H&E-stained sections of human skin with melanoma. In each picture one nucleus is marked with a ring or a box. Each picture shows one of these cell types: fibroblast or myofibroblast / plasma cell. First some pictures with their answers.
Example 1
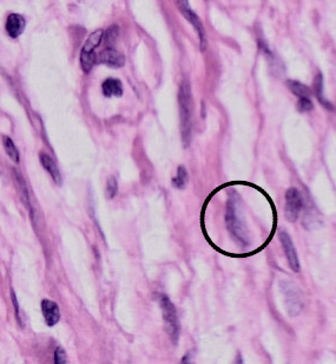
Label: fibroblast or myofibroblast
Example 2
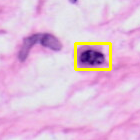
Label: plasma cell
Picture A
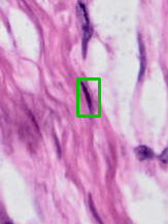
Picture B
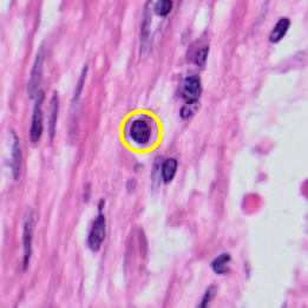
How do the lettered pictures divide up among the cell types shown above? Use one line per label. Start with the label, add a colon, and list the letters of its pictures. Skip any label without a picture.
fibroblast or myofibroblast: A
plasma cell: B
